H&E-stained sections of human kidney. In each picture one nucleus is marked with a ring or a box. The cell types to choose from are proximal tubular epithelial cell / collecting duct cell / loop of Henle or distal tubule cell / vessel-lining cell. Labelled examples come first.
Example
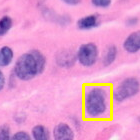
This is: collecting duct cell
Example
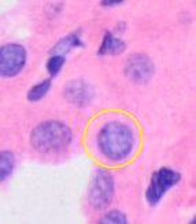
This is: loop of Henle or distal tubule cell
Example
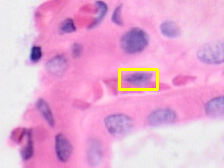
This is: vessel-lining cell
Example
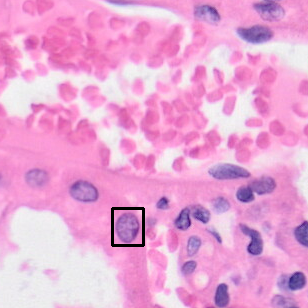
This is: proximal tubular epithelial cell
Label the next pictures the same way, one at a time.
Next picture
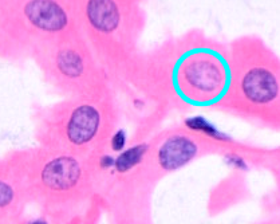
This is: proximal tubular epithelial cell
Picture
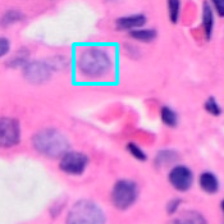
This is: collecting duct cell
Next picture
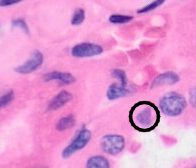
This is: loop of Henle or distal tubule cell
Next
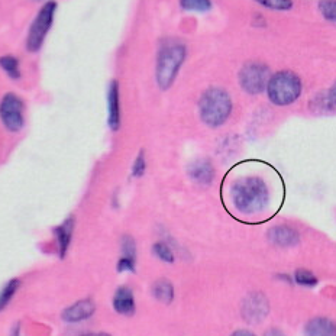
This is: loop of Henle or distal tubule cell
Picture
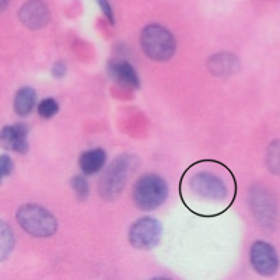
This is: collecting duct cell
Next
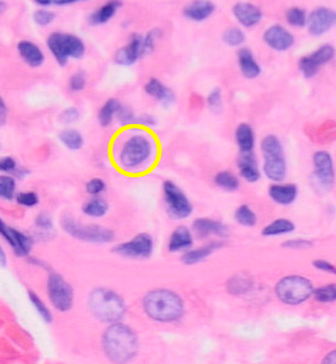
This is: vessel-lining cell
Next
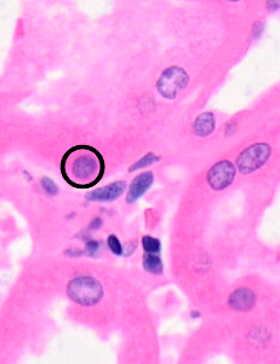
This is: proximal tubular epithelial cell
